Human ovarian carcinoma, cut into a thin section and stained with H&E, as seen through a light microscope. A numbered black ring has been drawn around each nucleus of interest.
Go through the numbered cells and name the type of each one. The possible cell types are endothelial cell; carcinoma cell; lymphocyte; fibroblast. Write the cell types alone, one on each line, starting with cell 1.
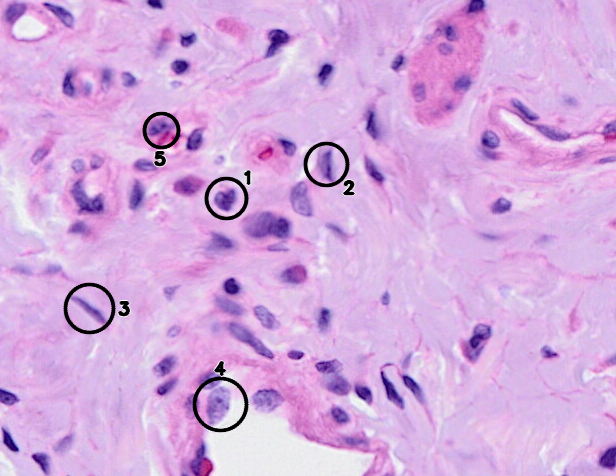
lymphocyte
fibroblast
fibroblast
endothelial cell
endothelial cell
